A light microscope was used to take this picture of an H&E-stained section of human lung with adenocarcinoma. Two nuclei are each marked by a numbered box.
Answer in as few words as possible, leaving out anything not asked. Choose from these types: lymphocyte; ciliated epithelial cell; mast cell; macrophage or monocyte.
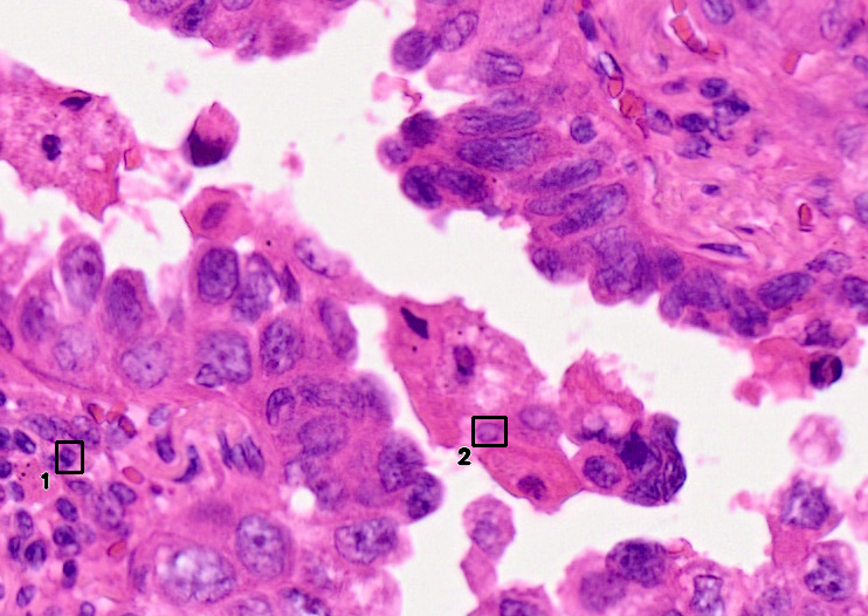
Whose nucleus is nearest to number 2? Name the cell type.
macrophage or monocyte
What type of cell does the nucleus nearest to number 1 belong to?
lymphocyte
